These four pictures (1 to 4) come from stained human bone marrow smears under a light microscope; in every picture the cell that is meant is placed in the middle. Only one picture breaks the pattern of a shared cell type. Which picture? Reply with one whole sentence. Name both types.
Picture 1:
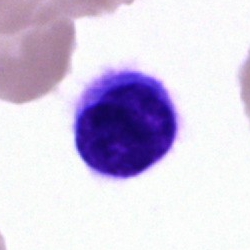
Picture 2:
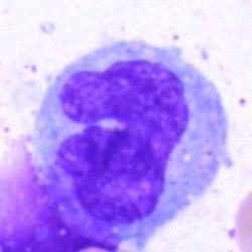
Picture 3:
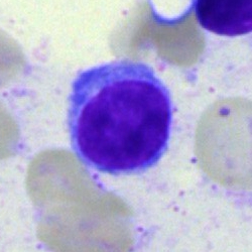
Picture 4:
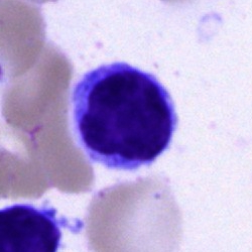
Unlike the rest, which show lymphocytes, picture 2 shows a monocyte.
